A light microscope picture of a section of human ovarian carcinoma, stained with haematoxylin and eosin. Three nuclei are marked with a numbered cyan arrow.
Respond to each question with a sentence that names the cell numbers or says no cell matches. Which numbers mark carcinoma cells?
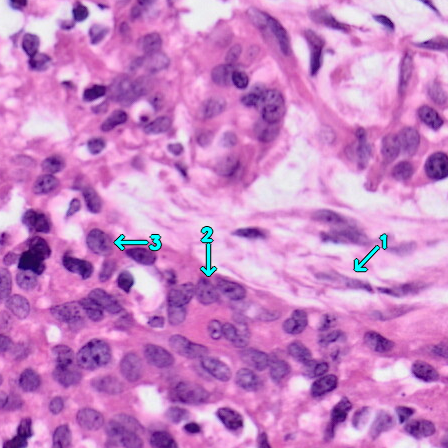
Identified as carcinoma cells are the cells numbered 2 and 3.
